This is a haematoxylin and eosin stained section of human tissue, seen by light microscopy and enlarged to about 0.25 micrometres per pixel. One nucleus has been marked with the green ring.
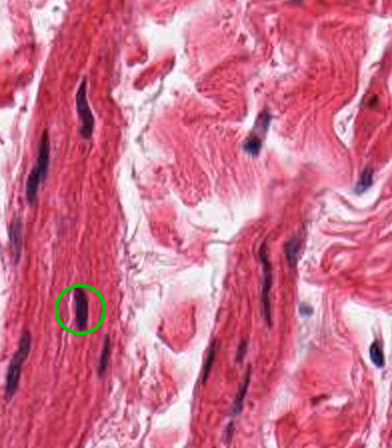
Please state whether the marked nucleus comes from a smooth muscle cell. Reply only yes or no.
yes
